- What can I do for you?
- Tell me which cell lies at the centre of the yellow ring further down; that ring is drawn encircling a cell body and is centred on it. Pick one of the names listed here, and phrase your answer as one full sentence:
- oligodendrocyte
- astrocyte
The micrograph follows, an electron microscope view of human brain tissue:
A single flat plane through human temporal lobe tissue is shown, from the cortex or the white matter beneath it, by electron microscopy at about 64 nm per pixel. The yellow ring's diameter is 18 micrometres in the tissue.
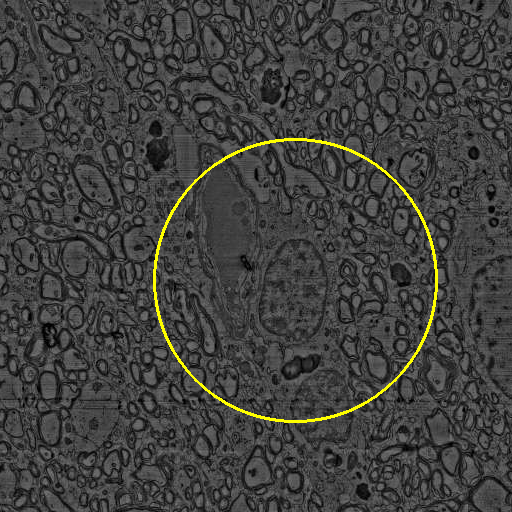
The cell whose body lies at the centre of the yellow ring is an oligodendrocyte.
